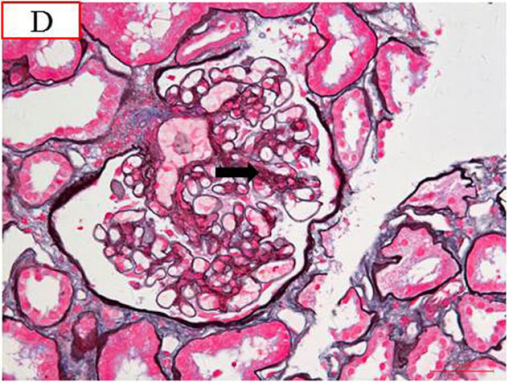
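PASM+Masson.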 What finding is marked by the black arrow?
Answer: Mesangial proliferation.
